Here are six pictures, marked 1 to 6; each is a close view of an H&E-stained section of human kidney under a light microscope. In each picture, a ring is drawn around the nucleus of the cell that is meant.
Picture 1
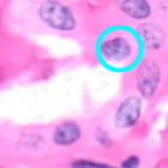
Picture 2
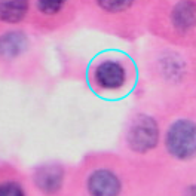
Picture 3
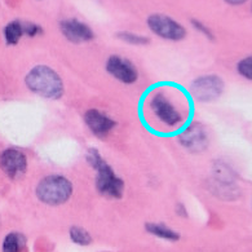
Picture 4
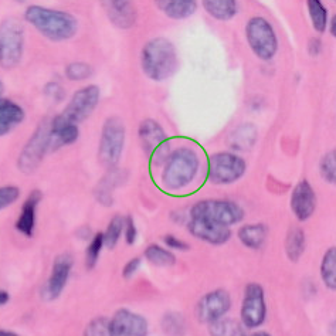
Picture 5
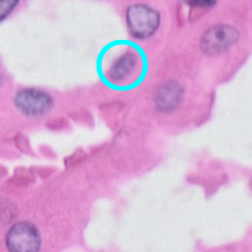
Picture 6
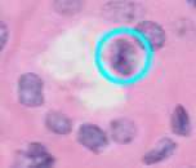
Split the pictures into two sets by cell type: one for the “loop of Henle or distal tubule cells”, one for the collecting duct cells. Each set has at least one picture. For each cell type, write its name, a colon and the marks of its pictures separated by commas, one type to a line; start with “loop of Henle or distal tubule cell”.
loop of Henle or distal tubule cell: 2, 5
collecting duct cell: 1, 3, 4, 6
